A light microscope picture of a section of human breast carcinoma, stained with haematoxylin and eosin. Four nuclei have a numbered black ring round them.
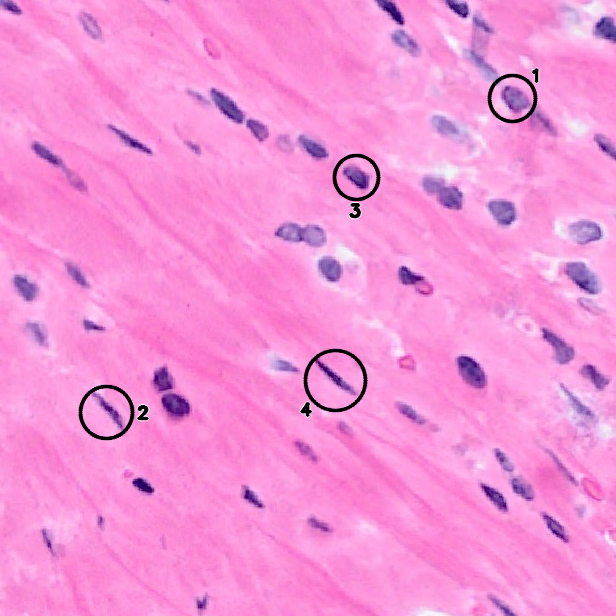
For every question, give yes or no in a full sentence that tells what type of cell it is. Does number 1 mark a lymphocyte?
Yes, cell 1 among the marked cells is a lymphocyte.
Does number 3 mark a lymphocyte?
Yes, the cell that the number 3 labels is a lymphocyte.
